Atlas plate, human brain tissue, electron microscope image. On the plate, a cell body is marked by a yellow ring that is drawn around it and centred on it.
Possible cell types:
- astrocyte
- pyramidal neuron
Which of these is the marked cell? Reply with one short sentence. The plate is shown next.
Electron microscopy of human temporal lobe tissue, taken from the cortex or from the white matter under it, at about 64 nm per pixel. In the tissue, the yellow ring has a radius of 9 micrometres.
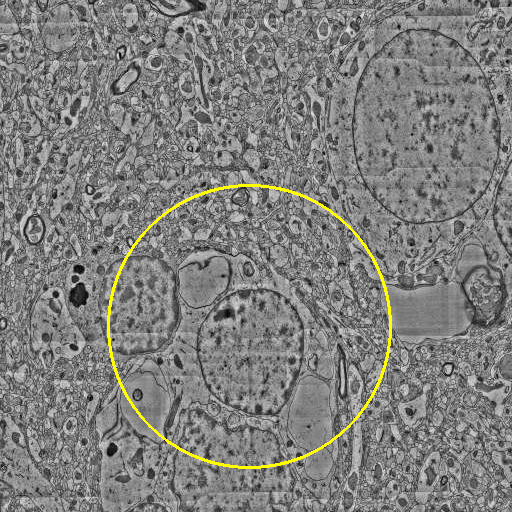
The marked cell is an astrocyte.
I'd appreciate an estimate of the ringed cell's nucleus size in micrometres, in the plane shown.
The nucleus is approximately 8 micrometers across in this plane.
